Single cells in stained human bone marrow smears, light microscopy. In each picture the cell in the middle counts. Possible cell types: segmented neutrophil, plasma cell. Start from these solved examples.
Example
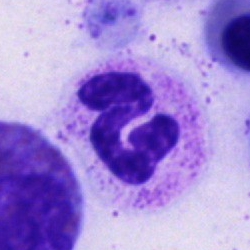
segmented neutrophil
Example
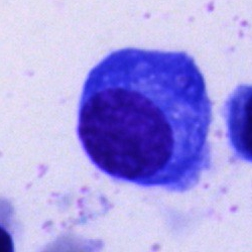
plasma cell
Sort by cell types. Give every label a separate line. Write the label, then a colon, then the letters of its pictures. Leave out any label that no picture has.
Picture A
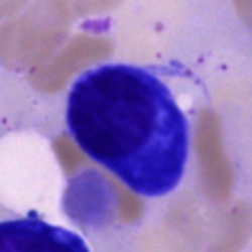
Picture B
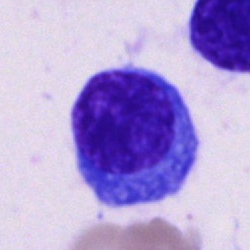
plasma cell: A, B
